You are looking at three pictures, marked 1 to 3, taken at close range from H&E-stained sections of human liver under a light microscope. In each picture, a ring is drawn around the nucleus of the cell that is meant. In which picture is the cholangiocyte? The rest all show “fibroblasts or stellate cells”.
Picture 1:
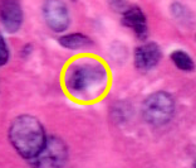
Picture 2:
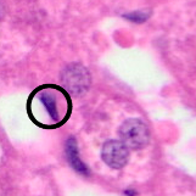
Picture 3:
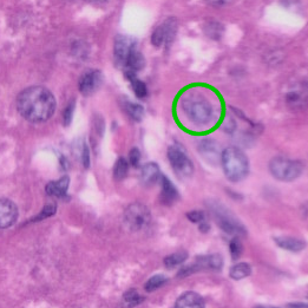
3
